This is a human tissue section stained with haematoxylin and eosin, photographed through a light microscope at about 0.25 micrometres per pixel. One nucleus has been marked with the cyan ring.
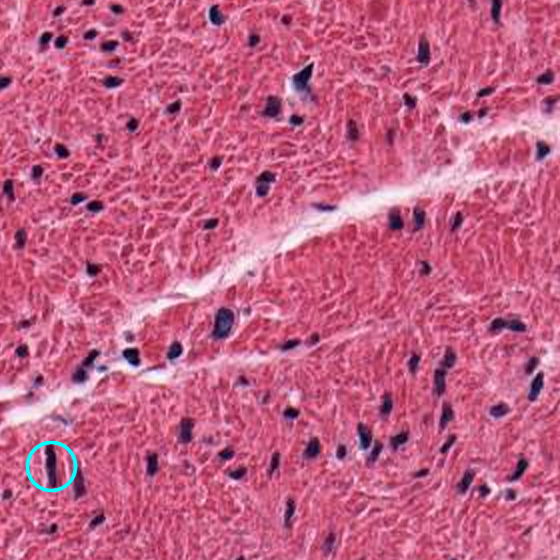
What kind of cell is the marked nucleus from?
smooth muscle cell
